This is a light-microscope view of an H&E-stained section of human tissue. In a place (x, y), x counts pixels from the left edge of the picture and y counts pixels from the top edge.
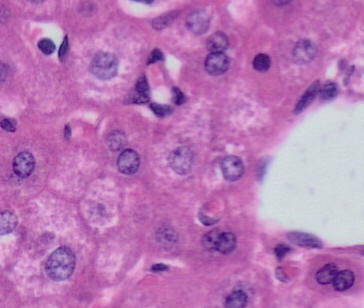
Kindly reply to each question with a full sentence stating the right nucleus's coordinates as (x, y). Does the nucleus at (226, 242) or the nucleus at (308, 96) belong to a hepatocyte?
The pair contains one nucleus of a hepatocyte, namely the one at (226, 242).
